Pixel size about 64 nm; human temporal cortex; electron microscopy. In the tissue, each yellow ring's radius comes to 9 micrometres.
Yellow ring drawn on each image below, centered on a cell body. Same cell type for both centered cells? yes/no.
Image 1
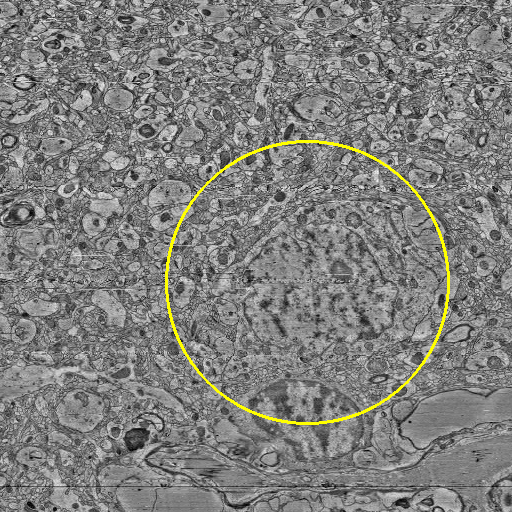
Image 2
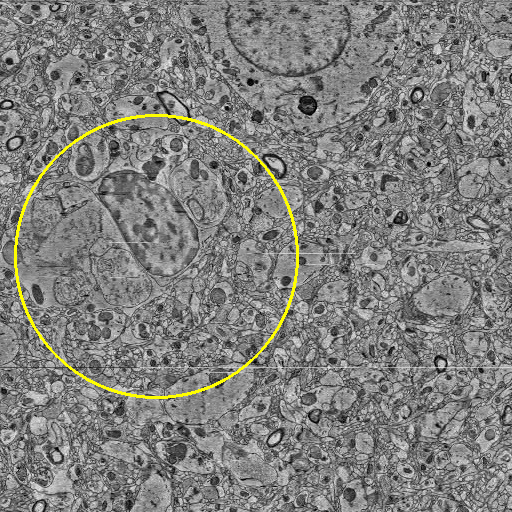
no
